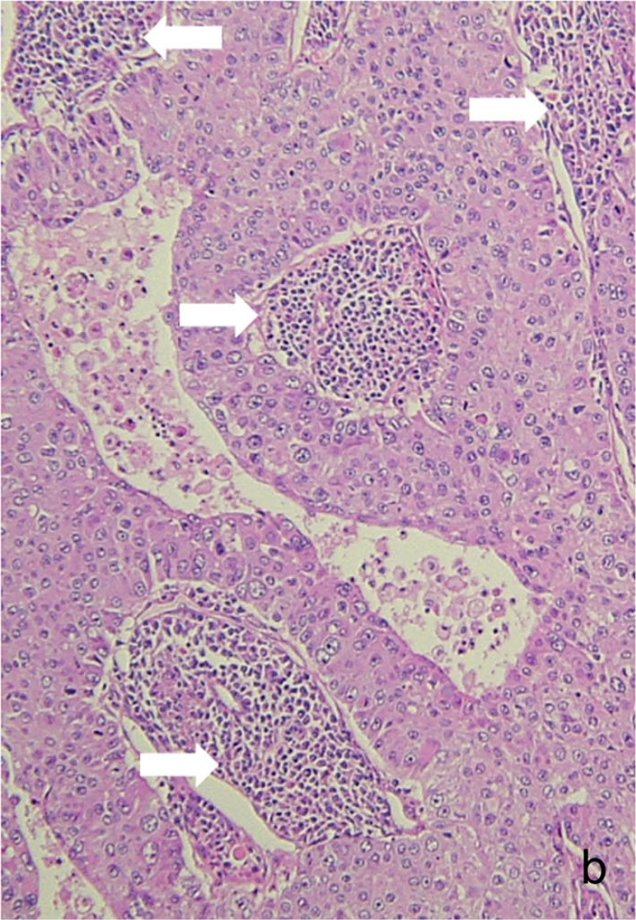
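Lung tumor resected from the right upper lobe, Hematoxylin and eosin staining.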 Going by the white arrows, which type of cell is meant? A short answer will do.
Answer: Inflammatory cells.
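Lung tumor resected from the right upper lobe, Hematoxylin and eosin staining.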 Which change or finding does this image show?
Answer: Solid type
